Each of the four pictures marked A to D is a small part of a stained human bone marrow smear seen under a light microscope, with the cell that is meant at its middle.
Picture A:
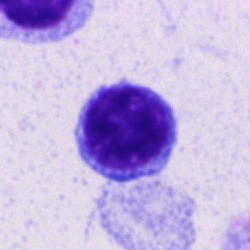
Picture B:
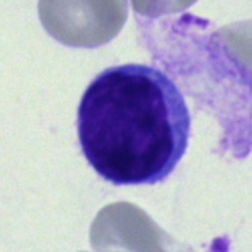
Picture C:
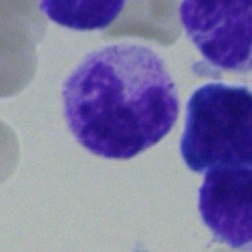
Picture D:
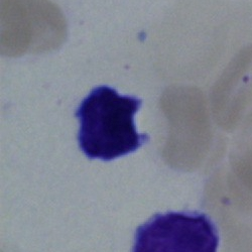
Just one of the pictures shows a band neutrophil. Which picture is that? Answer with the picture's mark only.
C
